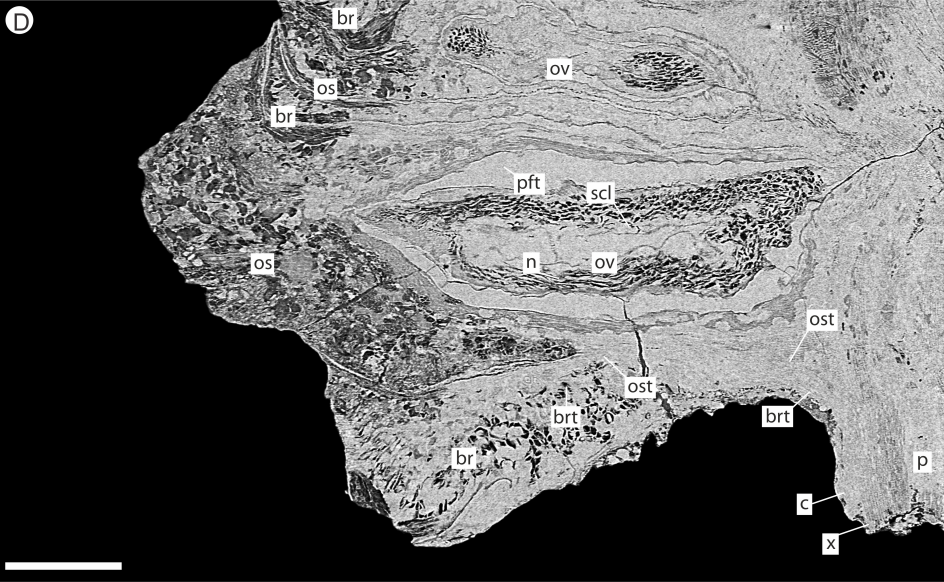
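Within the complex lies an elongate ovule whose coat is made of tightly packed dark, thick-walled cells, enclosing a paler inner tissue. Thin layers of tissue wrap around the ovule, and strands of conducting tissue pass from the axis outward into the complex. Toward the left tip the tissue becomes a coarse mosaic of rounded and angular cells of varying density.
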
